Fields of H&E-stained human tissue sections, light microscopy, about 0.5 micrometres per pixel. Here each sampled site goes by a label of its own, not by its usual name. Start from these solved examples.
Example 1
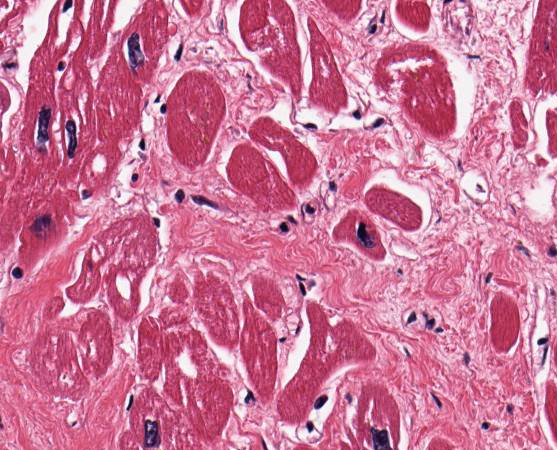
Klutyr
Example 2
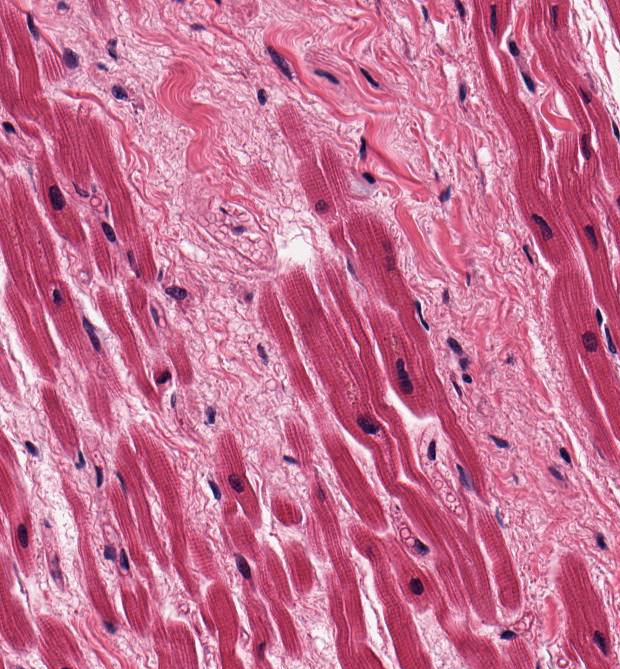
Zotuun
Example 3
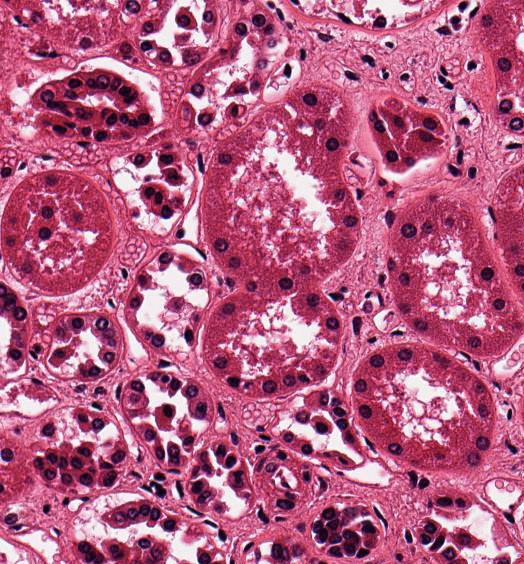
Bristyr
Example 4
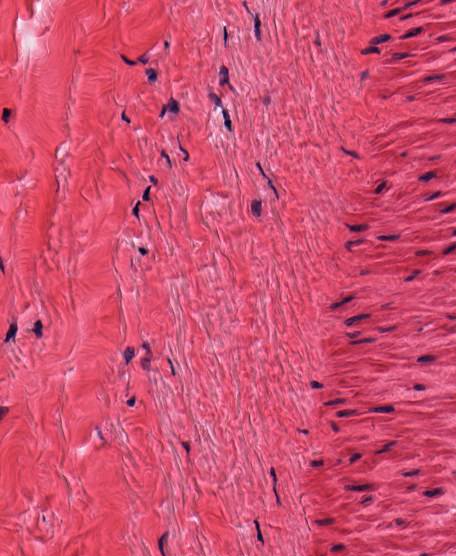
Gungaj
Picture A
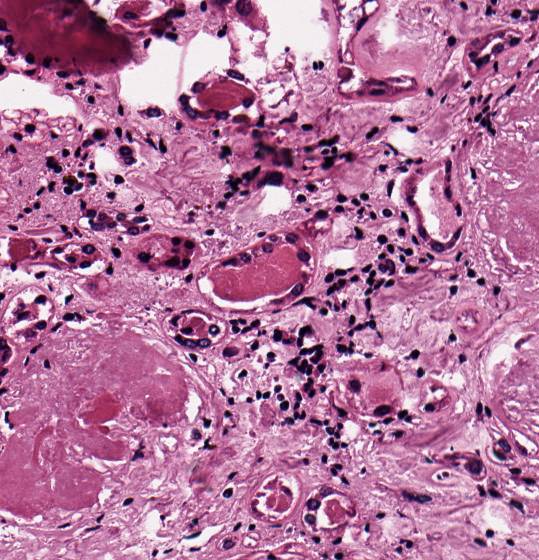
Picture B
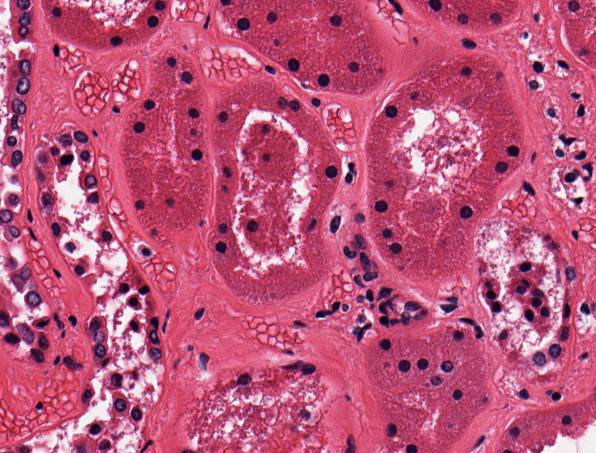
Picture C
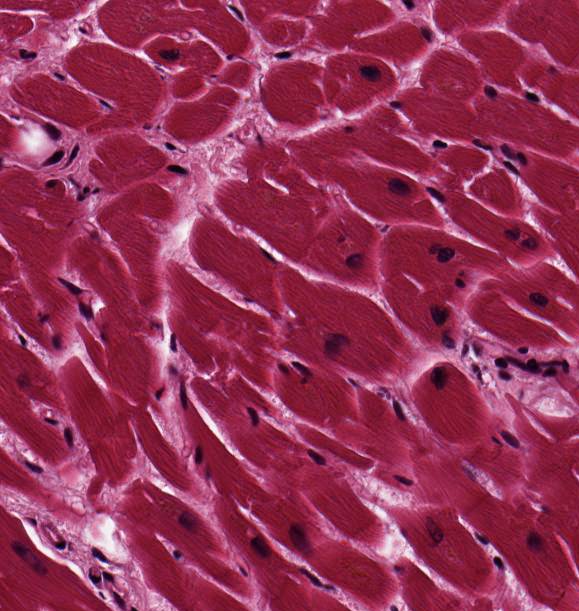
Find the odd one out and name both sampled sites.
Exception: C, showing Klutyr. Remaining pictures: Bristyr.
